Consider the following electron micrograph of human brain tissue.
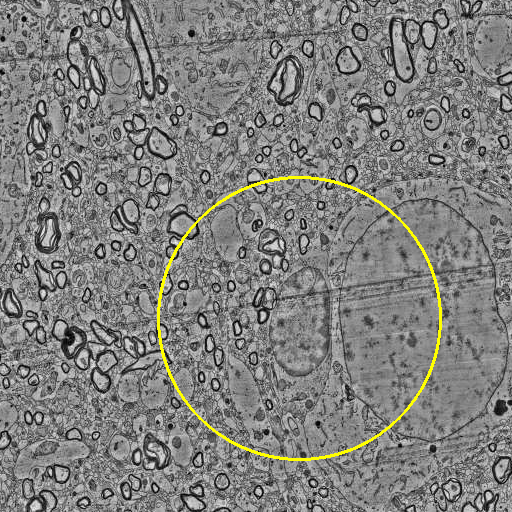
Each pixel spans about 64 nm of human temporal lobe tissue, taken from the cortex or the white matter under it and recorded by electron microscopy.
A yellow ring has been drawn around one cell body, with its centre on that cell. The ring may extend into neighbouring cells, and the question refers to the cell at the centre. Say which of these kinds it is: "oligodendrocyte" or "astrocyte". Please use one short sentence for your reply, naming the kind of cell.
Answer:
The centre of the ring falls on an oligodendrocyte.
